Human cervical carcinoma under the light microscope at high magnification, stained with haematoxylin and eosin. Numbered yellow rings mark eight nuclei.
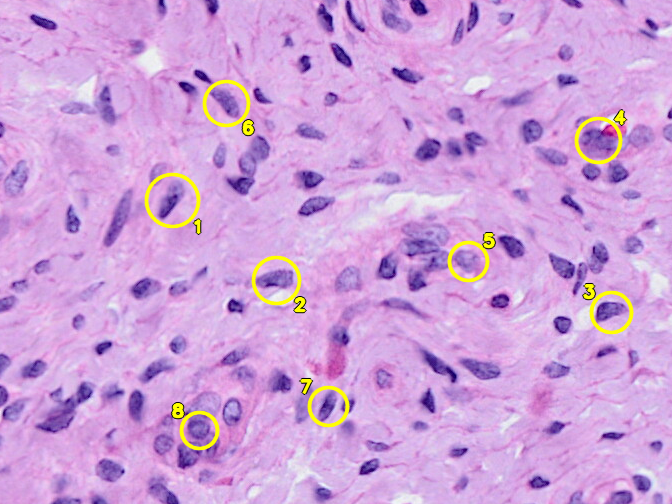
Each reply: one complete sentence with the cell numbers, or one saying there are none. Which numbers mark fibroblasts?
Here, the cells that carry numbers 1, 2, 3, 6 and 7 are fibroblasts.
